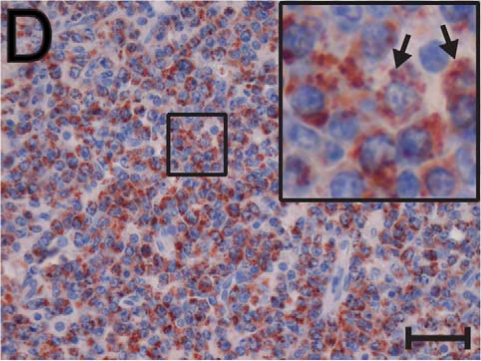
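Most cells carry red staining in the cytoplasm. In the enlarged inset the red stain forms clumped aggregates lying against the edge of the nuclei, while the nuclei stay blue. The cells are closely packed without any glandular or layered arrangement.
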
